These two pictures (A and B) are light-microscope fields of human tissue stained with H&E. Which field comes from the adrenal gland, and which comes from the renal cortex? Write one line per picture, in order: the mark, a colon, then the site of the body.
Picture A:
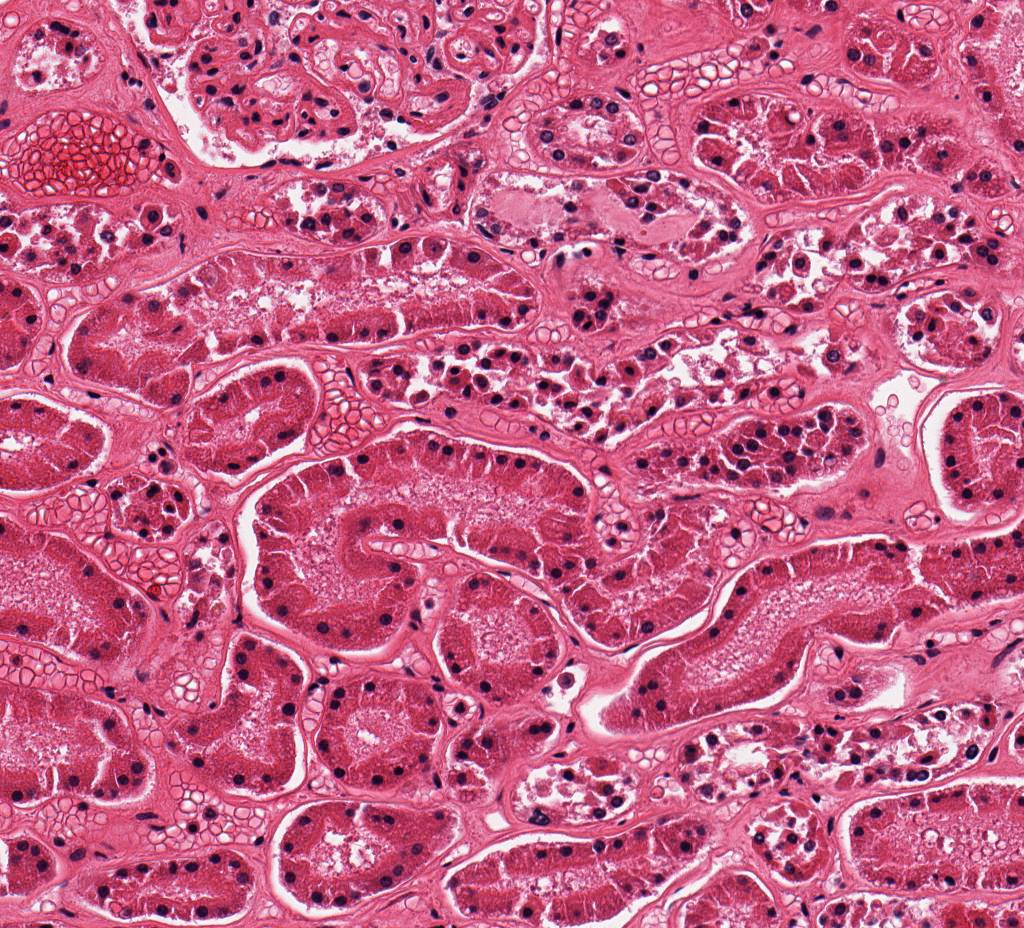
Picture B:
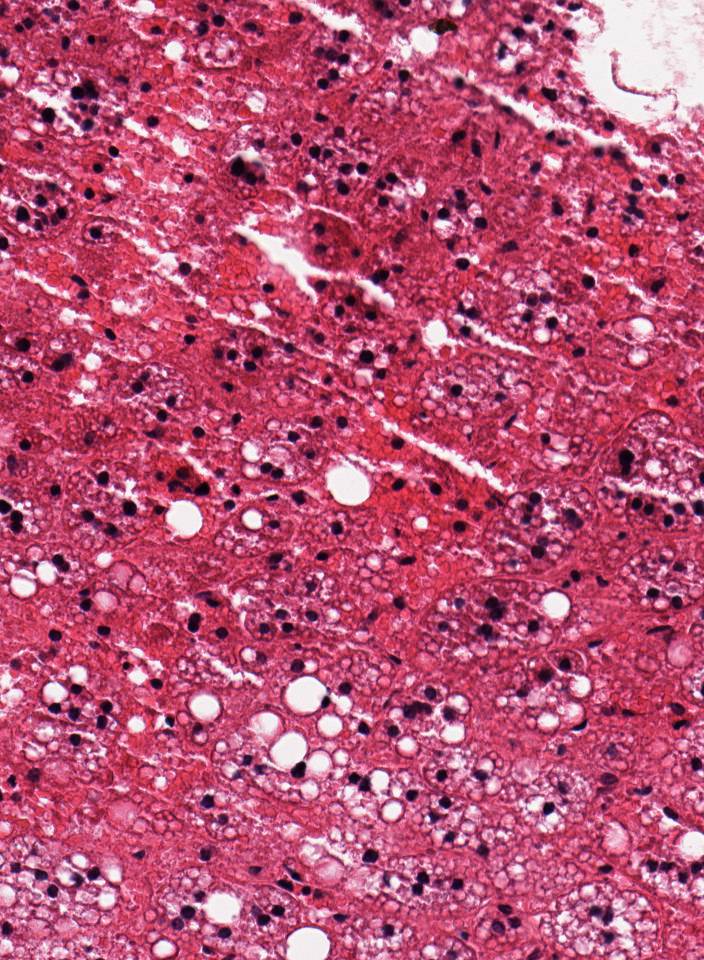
A: renal cortex
B: adrenal gland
